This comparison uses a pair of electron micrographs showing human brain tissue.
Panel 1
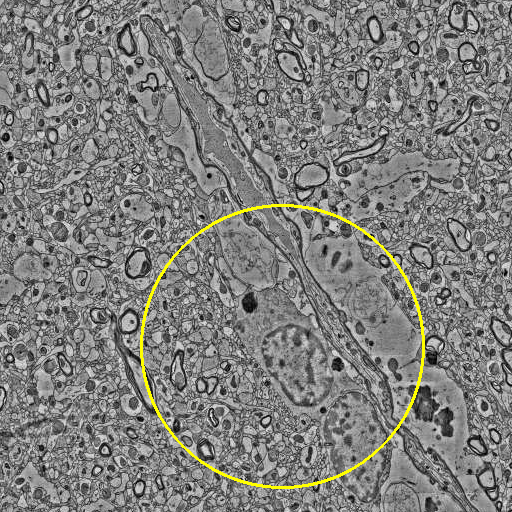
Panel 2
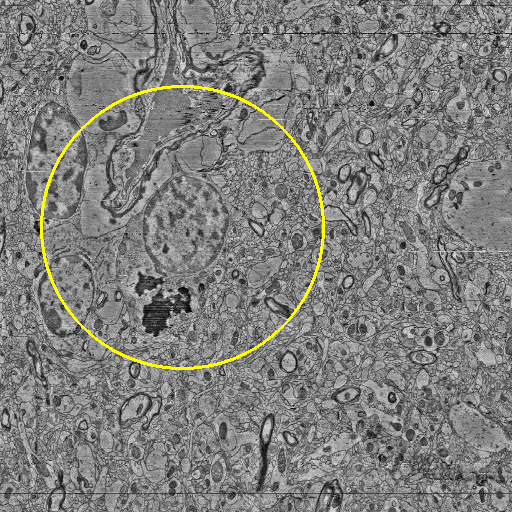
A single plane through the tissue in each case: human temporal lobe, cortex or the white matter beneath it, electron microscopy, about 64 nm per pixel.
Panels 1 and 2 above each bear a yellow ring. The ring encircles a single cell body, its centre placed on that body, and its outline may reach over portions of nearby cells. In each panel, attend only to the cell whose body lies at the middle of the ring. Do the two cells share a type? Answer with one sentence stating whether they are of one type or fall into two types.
In Panel 1 and Panel 2, the cells at the centres of the rings are of one type.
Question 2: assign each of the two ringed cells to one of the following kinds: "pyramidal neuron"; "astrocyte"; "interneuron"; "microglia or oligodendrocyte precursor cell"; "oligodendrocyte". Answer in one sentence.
In each of the two pictures, the ringed cell is an oligodendrocyte.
